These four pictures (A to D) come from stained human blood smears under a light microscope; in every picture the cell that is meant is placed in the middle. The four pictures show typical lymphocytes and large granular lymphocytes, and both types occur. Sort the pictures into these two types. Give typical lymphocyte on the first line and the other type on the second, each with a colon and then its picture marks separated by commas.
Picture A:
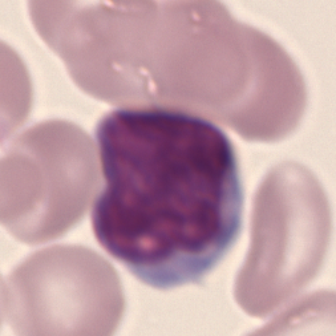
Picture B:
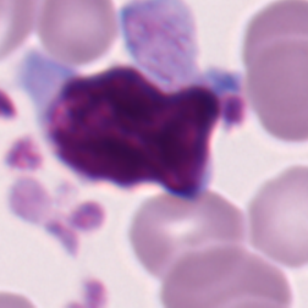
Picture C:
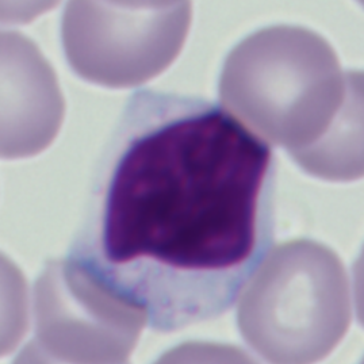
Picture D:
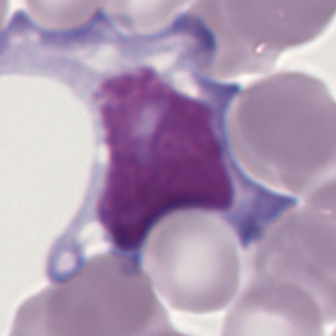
typical lymphocyte: A, B, D
large granular lymphocyte: C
